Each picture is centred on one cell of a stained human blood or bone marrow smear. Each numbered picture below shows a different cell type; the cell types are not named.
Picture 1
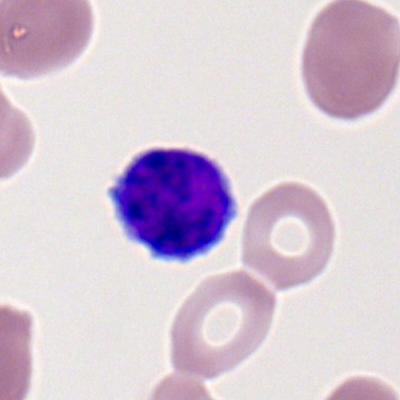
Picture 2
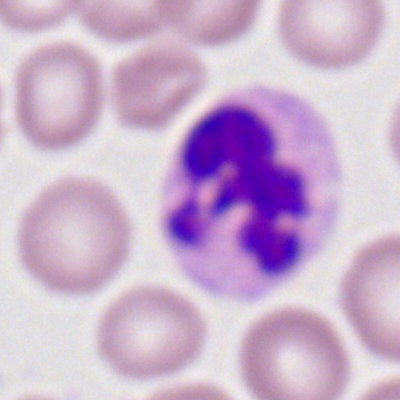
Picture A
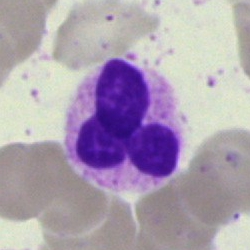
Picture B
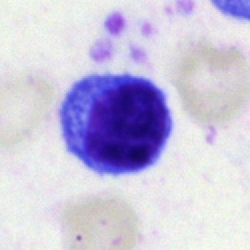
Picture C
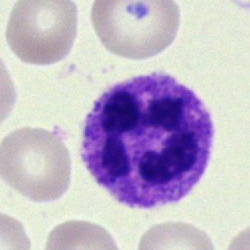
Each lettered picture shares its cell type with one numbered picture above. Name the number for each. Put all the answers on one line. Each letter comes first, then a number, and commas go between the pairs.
A 2, B 1, C 2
